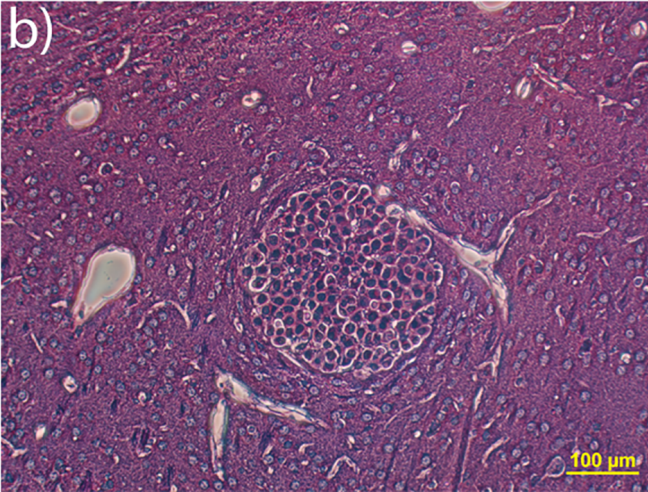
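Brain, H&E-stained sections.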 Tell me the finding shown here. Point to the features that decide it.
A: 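A sharply bounded round nest of densely packed cells sits in the middle of the tissue. The cells of the nest have a different look from the surrounding finely fibrillar tissue with scattered small nuclei. A rim of flattened tissue surrounds the nest. So: Metastatic tumours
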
